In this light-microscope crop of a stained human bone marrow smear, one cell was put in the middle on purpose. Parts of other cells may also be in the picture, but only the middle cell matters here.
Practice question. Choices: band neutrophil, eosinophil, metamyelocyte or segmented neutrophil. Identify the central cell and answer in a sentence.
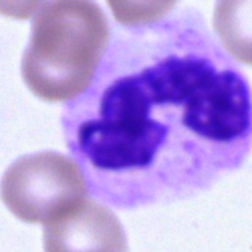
The crop centres on a single cell, and that cell is a segmented neutrophil.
